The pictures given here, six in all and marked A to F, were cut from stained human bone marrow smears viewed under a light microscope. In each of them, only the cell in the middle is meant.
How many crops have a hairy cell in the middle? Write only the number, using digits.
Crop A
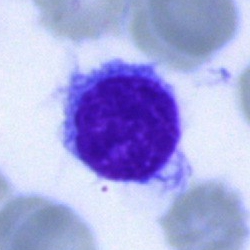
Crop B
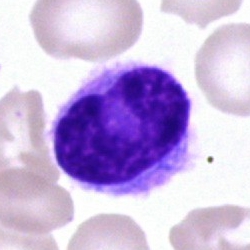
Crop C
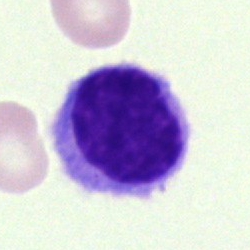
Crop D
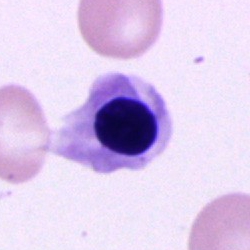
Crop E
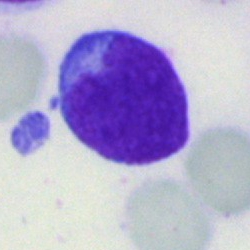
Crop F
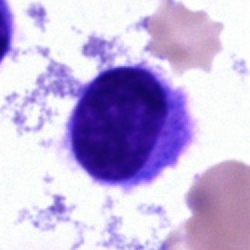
4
